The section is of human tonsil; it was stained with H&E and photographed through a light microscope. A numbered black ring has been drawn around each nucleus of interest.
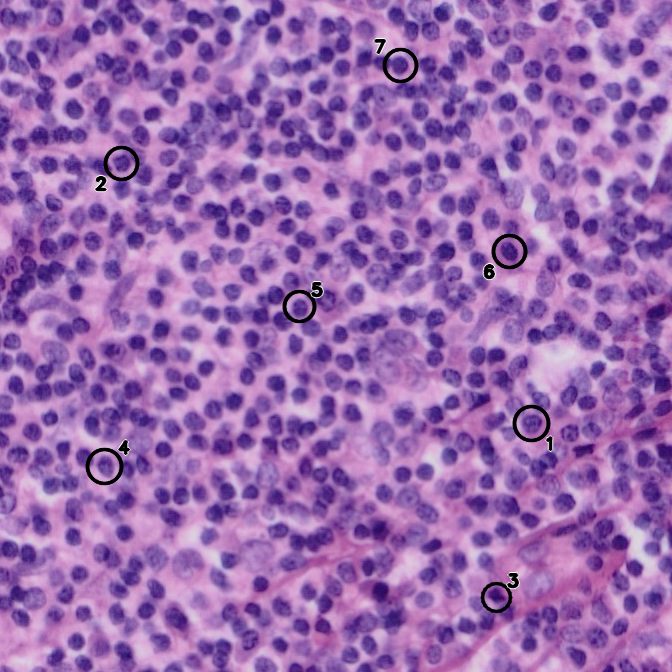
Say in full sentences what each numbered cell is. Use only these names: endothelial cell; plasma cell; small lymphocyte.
Cell 1 is a plasma cell, cell 2 is a small lymphocyte, cell 3 is an endothelial cell, cell 4 is a small lymphocyte, cell 5 is a small lymphocyte, cell 6 is a plasma cell and cell 7 is a small lymphocyte.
